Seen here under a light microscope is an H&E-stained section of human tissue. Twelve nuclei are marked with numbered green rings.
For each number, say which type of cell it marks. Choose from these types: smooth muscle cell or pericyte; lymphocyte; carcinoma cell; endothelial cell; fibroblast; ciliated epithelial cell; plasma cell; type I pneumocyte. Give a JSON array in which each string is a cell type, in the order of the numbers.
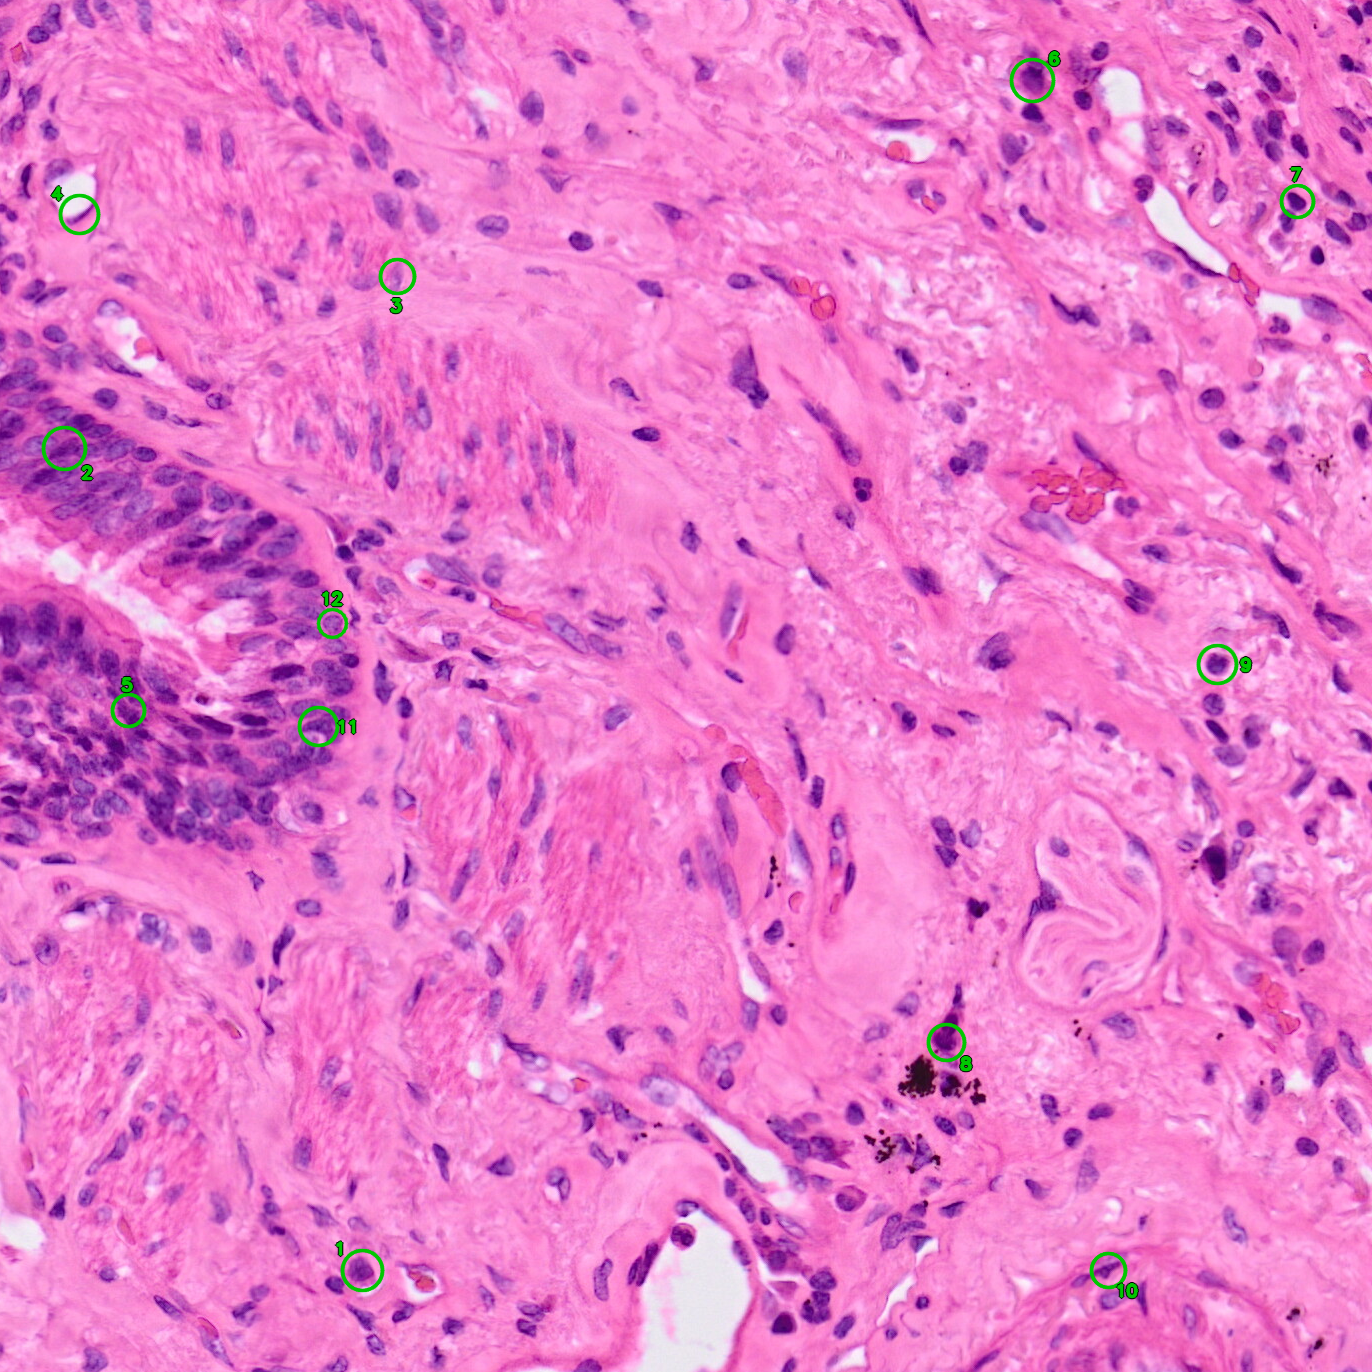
["plasma cell", "ciliated epithelial cell", "smooth muscle cell or pericyte", "endothelial cell", "ciliated epithelial cell", "plasma cell", "lymphocyte", "plasma cell", "lymphocyte", "smooth muscle cell or pericyte", "ciliated epithelial cell", "ciliated epithelial cell"]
